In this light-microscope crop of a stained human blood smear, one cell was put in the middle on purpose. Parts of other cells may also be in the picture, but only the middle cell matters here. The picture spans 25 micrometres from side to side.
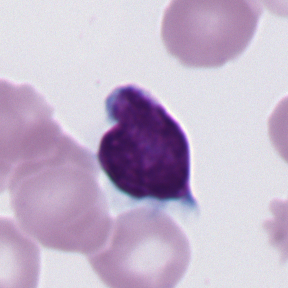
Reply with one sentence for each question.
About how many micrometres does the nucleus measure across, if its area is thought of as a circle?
The nucleus is about 8 micrometres across.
